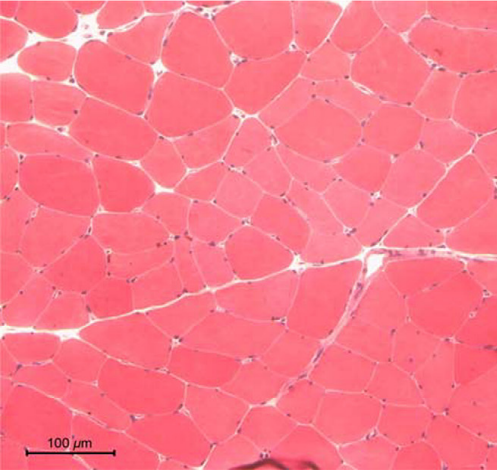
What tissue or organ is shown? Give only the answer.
Muscle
